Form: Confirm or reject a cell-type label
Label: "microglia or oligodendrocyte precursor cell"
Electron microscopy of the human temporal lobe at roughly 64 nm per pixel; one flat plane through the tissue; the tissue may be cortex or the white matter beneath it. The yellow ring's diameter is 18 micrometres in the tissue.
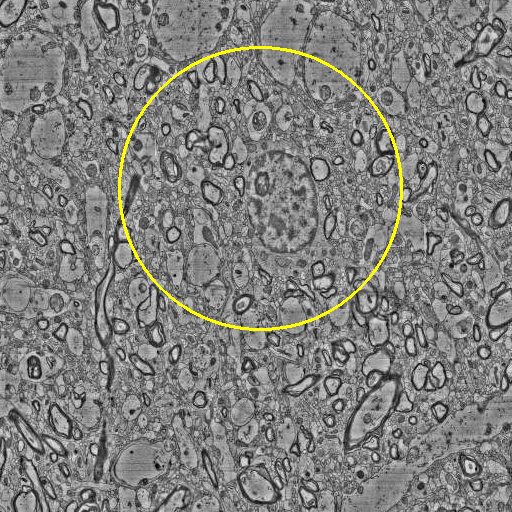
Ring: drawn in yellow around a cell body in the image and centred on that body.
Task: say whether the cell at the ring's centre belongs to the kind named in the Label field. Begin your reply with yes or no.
No, it belongs to another kind.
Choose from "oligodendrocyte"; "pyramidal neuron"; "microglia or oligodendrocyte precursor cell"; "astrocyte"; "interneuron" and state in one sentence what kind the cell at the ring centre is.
Sitting at the ring centre is an oligodendrocyte.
